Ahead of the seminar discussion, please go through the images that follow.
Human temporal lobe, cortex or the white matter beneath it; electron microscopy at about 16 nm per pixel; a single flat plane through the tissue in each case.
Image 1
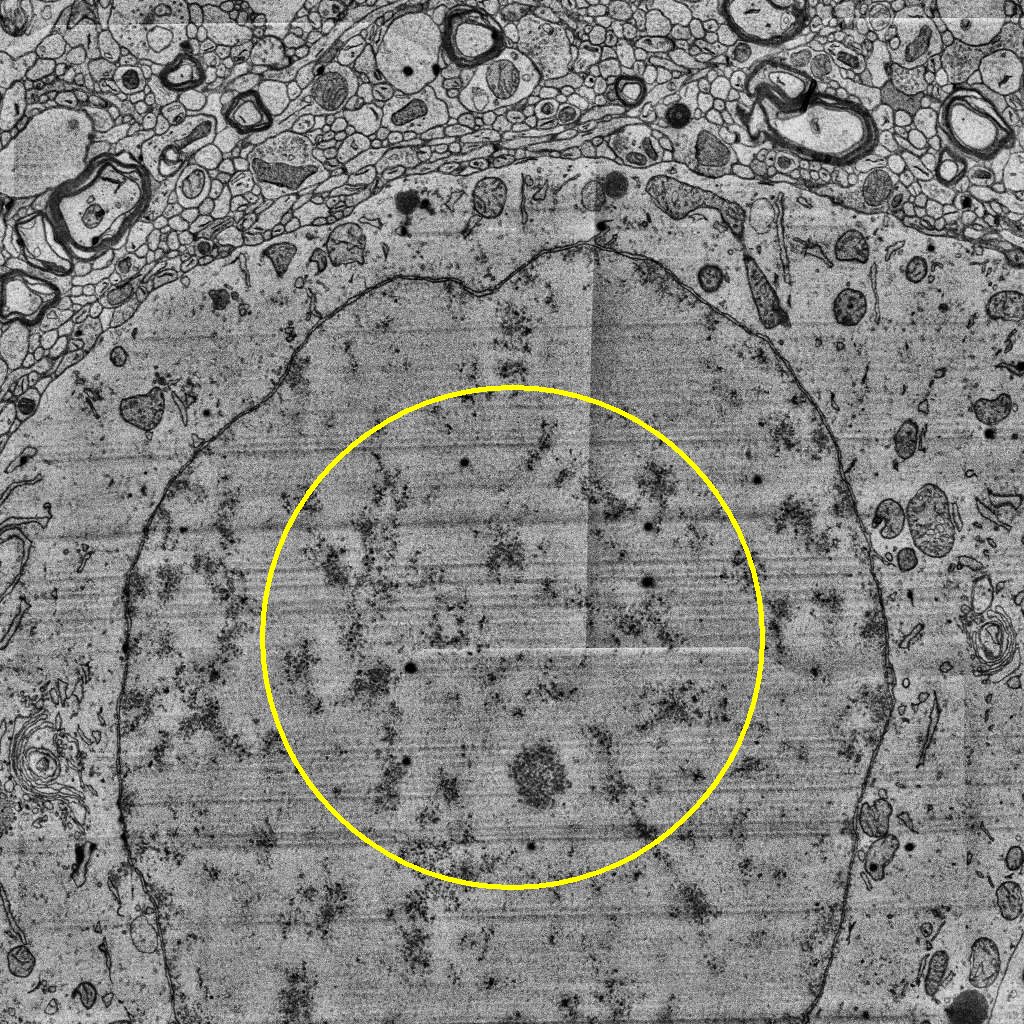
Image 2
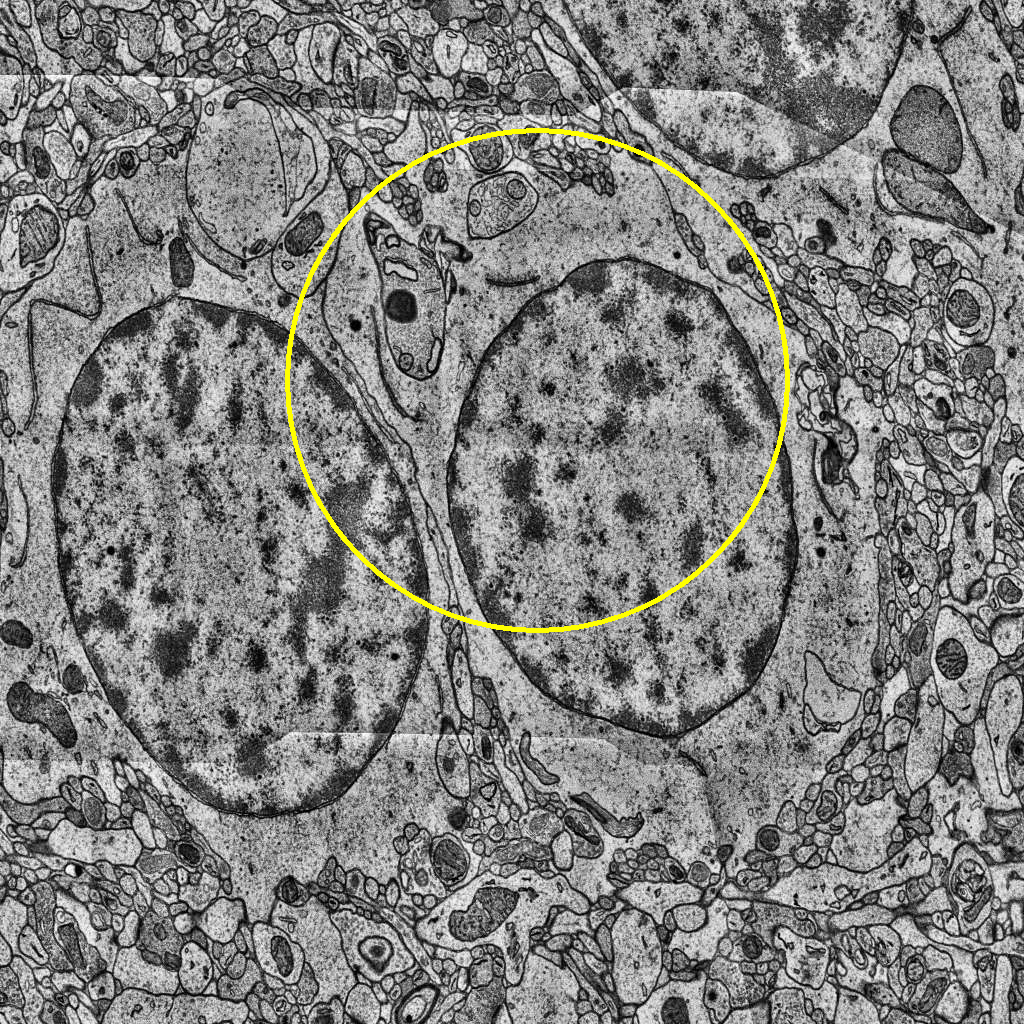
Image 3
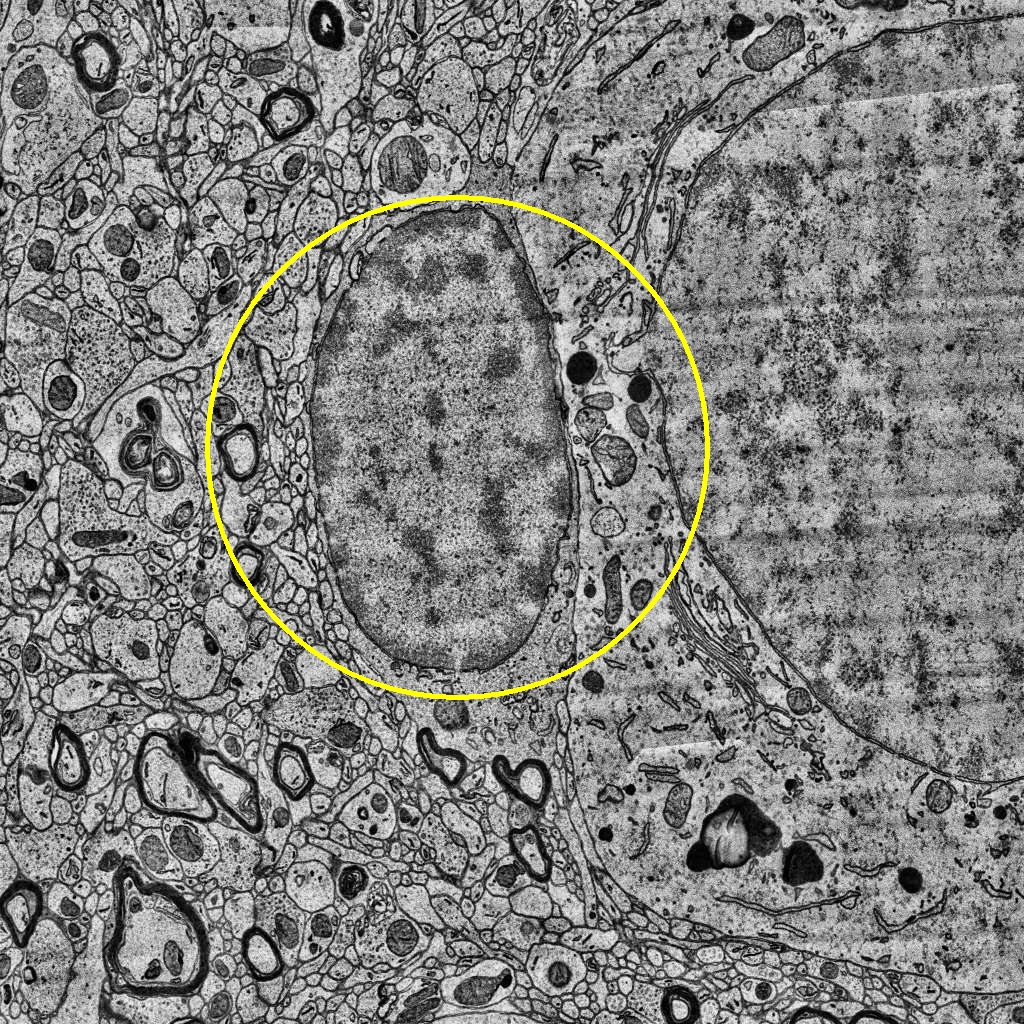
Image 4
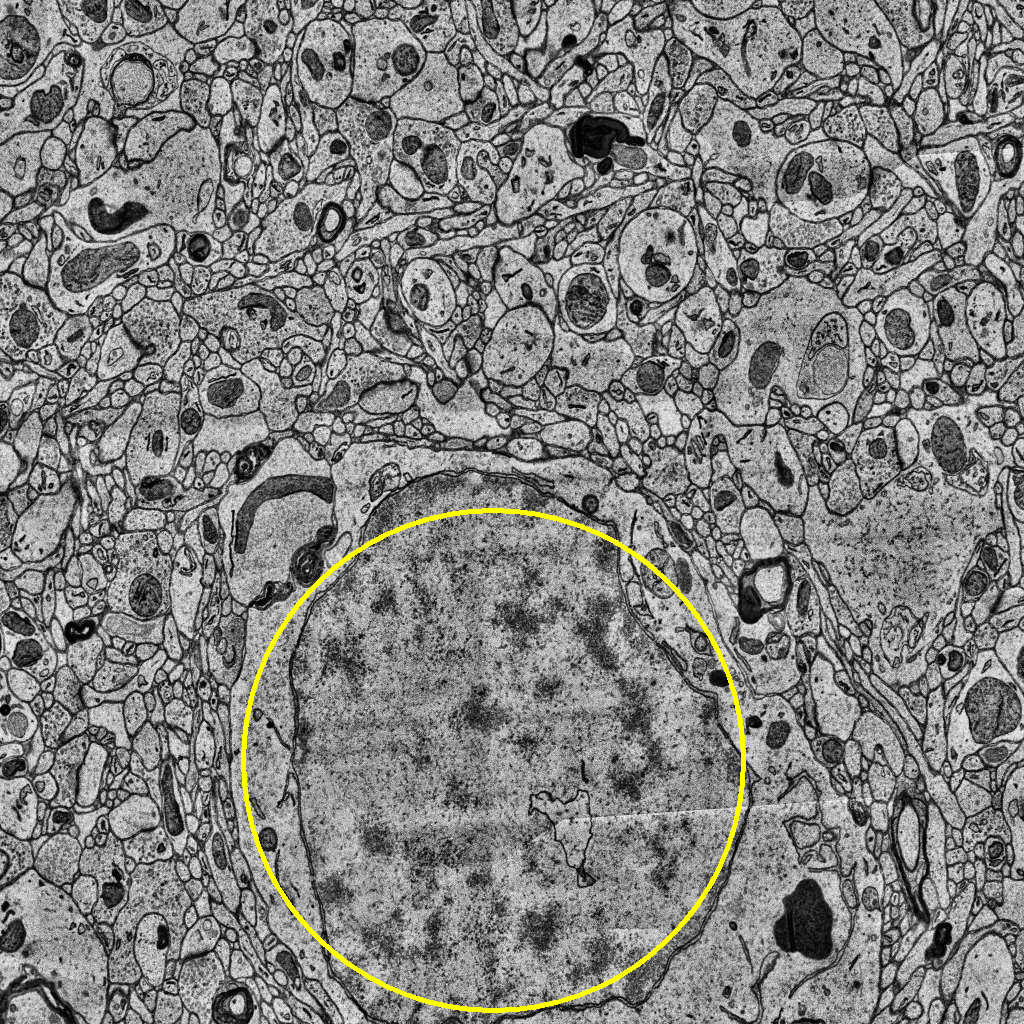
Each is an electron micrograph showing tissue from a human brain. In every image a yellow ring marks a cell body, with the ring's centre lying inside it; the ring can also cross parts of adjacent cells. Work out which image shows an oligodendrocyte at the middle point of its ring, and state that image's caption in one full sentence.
In Image 3, the ring's centre lies within the cell you are looking for.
